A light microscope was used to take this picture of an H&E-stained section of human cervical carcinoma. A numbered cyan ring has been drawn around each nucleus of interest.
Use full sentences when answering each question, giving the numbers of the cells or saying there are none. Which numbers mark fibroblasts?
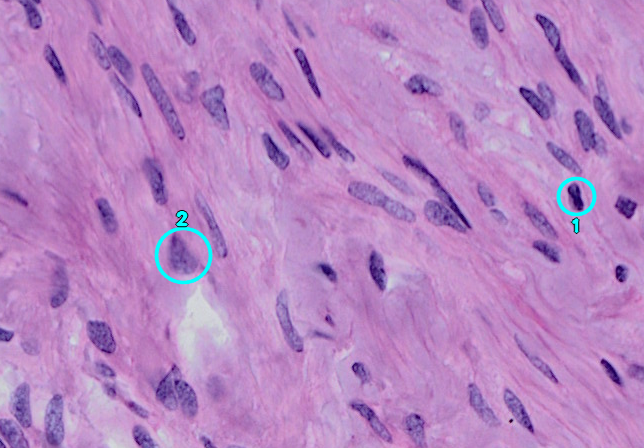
Only the cell numbered 2 is a fibroblast, and the others are something else.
